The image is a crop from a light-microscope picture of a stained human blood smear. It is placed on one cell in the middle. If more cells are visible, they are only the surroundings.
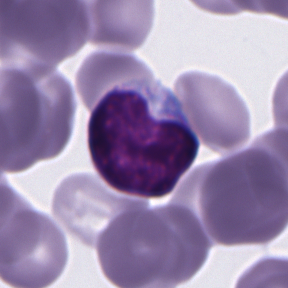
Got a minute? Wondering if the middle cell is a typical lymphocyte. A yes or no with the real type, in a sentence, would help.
Yes, shown in the middle of the crop is a typical lymphocyte.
